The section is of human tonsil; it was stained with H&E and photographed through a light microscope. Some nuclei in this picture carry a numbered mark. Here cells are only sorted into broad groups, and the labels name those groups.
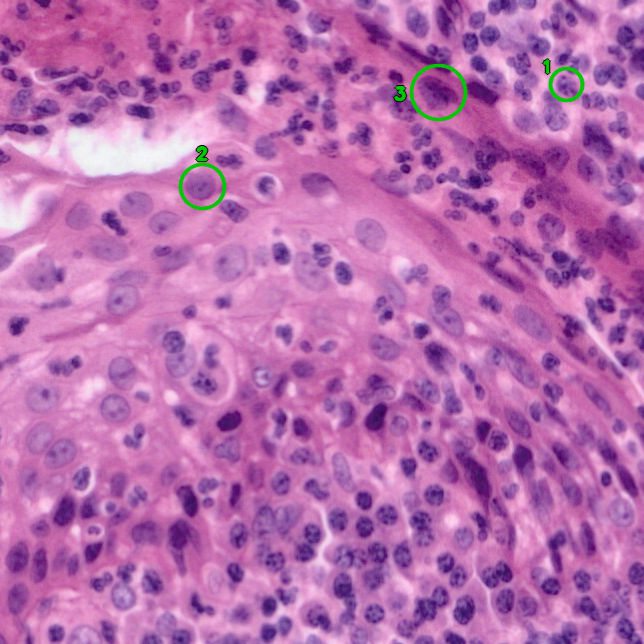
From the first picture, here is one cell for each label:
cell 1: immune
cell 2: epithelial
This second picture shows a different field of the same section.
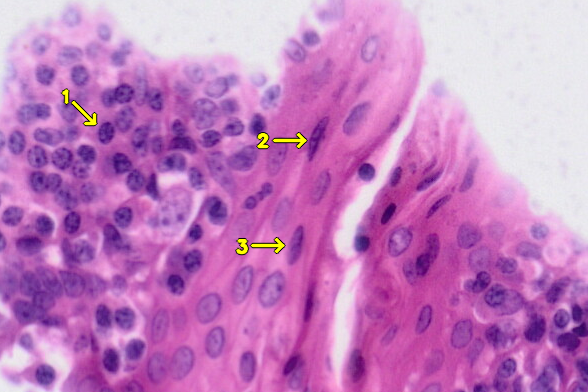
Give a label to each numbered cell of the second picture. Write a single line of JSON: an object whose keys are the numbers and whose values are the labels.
{"1": "immune", "2": "epithelial", "3": "epithelial"}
